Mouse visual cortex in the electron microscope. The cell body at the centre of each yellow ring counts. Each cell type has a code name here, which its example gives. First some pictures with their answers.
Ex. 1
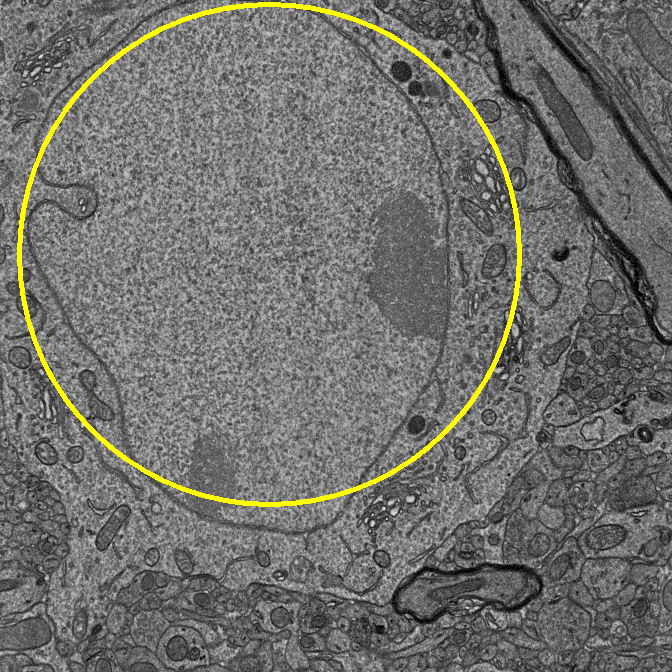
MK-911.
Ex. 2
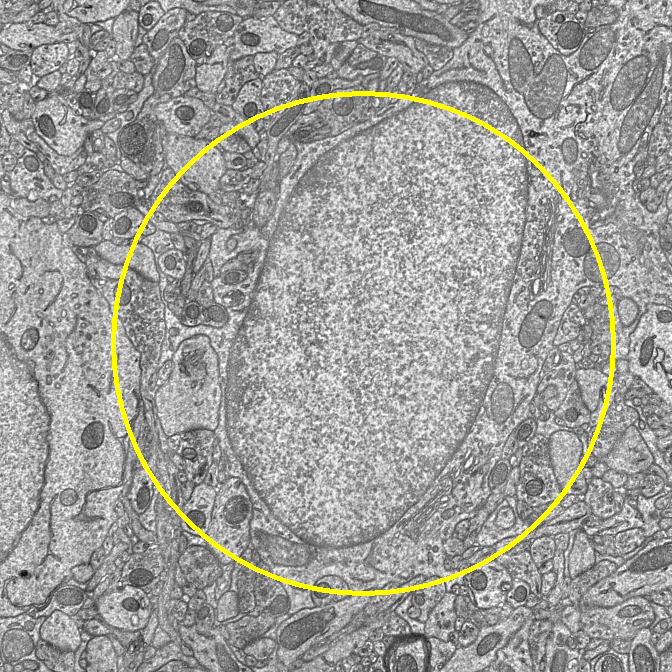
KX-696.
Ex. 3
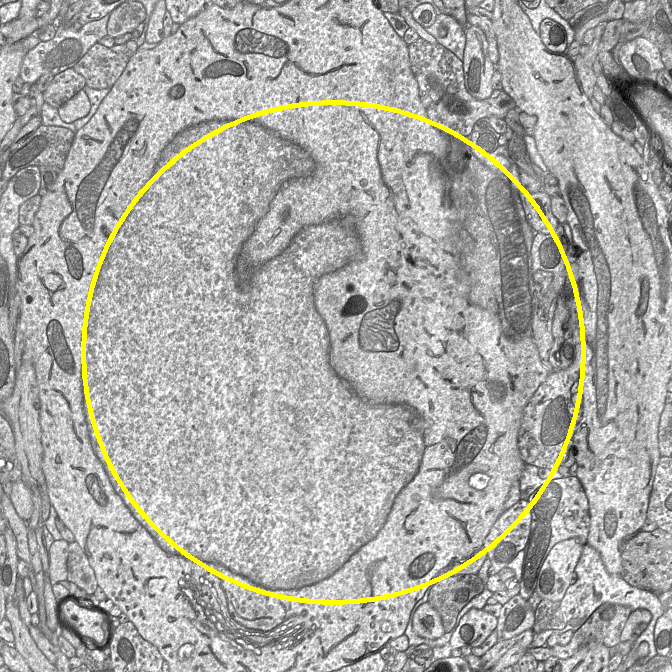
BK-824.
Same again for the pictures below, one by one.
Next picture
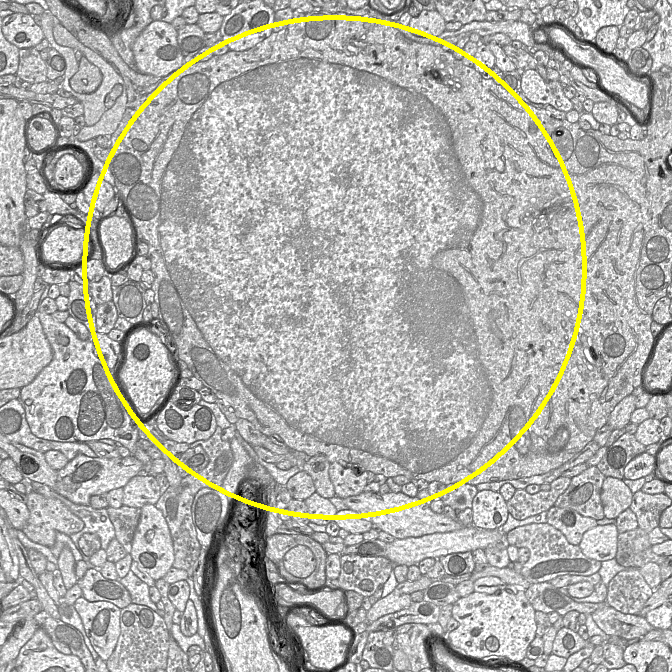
BK-824.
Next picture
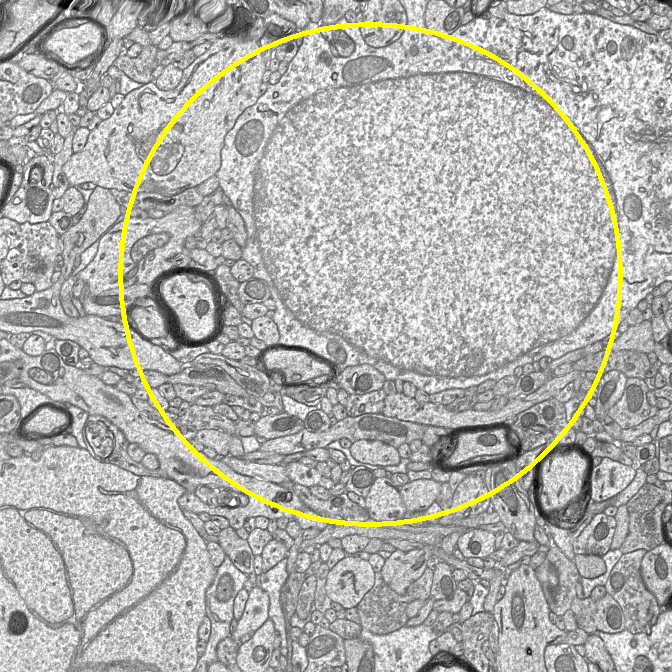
KX-696.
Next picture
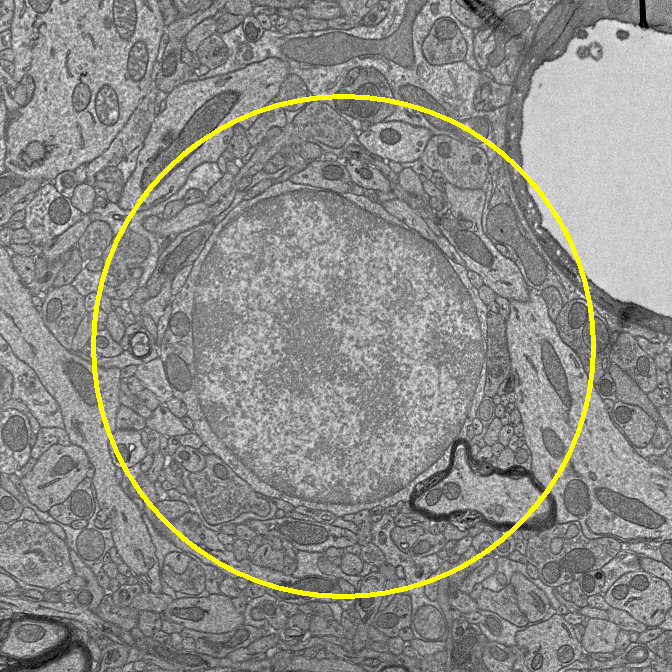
BK-824.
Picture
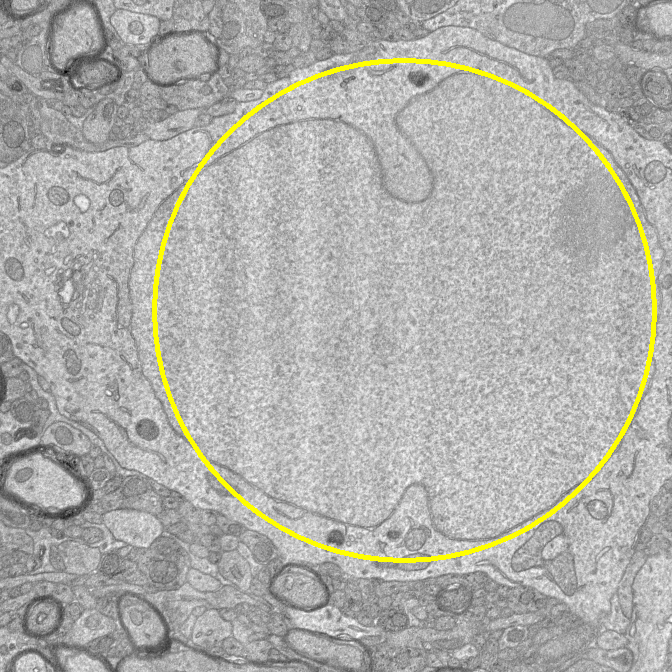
MK-911.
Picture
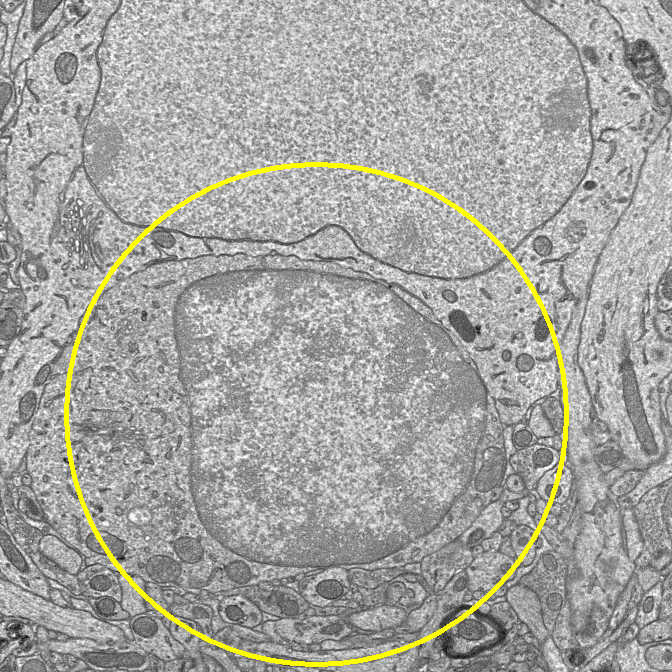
BK-824.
